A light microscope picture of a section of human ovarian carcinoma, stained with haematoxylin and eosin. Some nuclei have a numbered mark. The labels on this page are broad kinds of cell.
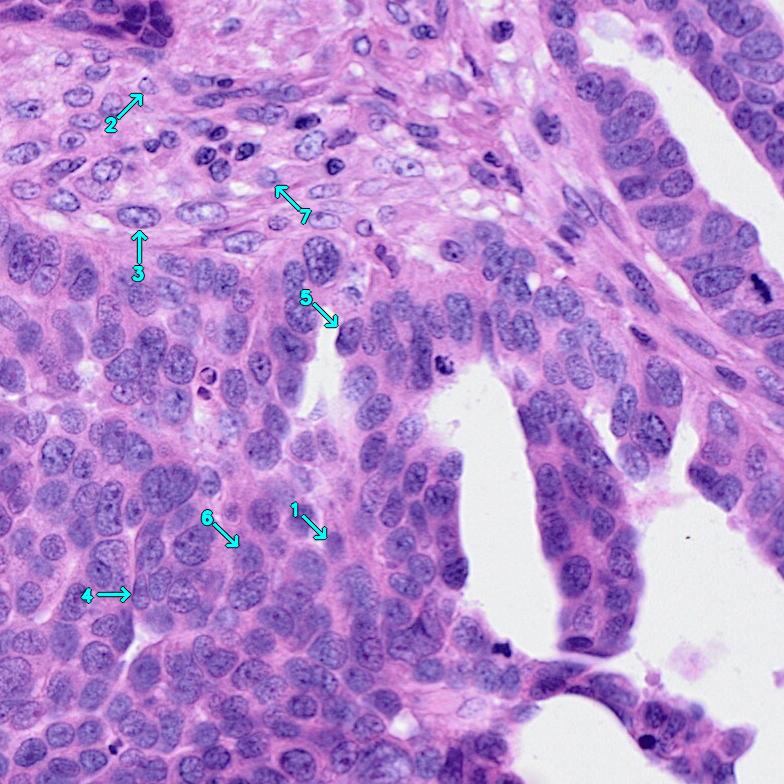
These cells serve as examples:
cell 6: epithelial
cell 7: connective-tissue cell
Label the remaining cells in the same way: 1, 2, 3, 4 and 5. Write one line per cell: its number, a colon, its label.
1: epithelial
2: connective-tissue cell
3: connective-tissue cell
4: epithelial
5: epithelial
